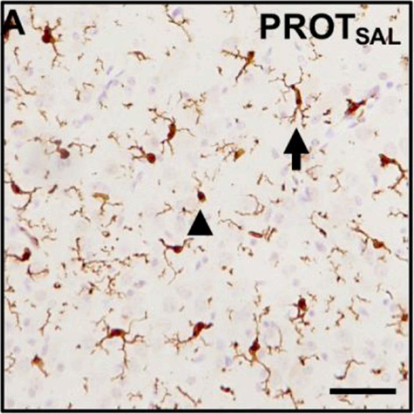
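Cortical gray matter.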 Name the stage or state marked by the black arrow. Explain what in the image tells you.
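The cell at the arrow has a small brown body. Thin processes branch out from the body in several directions.
Conclusion: ramified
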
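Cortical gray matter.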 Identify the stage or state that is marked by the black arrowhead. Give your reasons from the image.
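The cell at the arrowhead is small and compact with a dark brown body. It has few short processes compared with the cells around it. On this evidence: amoeboid.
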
